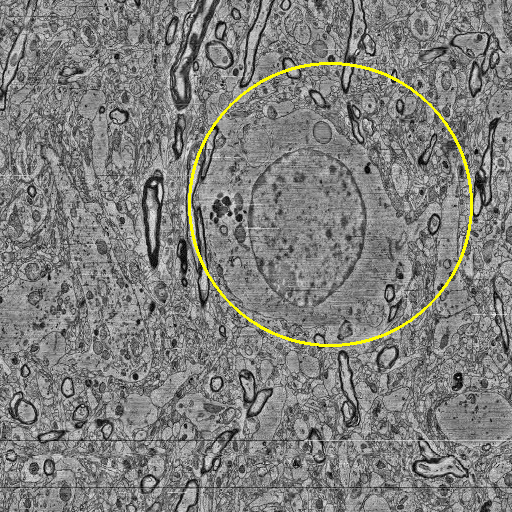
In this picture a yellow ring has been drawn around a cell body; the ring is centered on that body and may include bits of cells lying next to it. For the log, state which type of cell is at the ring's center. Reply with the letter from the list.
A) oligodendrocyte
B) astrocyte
B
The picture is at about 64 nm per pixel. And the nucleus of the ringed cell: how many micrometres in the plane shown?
In this plane, roughly 10 by 7 micrometres.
